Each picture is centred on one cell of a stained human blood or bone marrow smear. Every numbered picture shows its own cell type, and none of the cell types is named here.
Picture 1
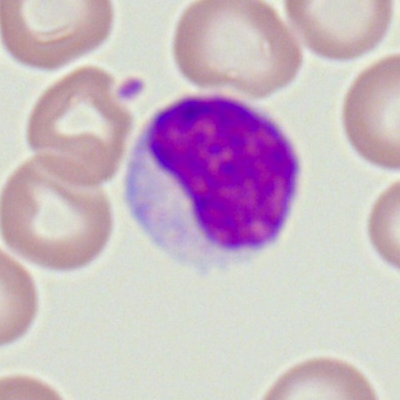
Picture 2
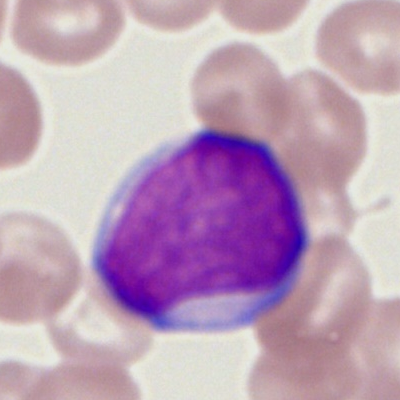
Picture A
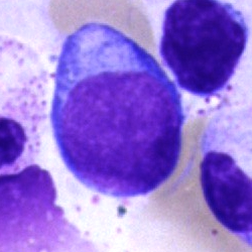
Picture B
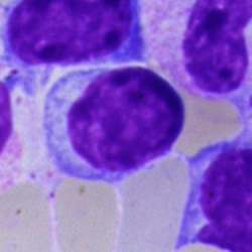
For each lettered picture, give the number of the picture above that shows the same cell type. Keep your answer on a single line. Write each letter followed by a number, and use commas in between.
A 2, B 1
